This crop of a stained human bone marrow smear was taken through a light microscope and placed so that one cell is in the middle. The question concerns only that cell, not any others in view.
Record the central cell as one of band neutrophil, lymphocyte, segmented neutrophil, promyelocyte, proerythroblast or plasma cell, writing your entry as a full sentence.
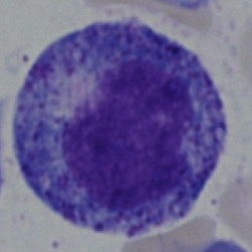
The center cell of this crop is a promyelocyte.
